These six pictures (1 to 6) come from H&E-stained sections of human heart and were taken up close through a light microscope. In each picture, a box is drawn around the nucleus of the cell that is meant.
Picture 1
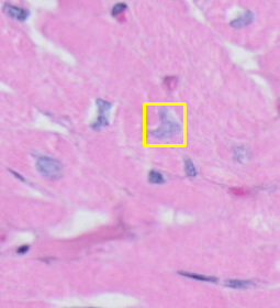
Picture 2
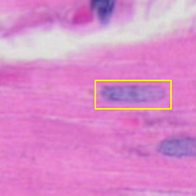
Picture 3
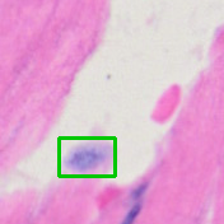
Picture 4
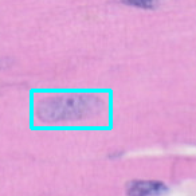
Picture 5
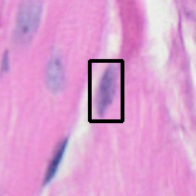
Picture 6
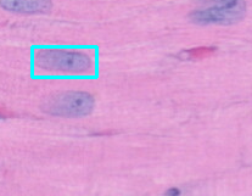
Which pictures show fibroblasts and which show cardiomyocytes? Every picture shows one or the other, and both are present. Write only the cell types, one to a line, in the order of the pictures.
cardiomyocyte
cardiomyocyte
fibroblast
cardiomyocyte
fibroblast
cardiomyocyte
